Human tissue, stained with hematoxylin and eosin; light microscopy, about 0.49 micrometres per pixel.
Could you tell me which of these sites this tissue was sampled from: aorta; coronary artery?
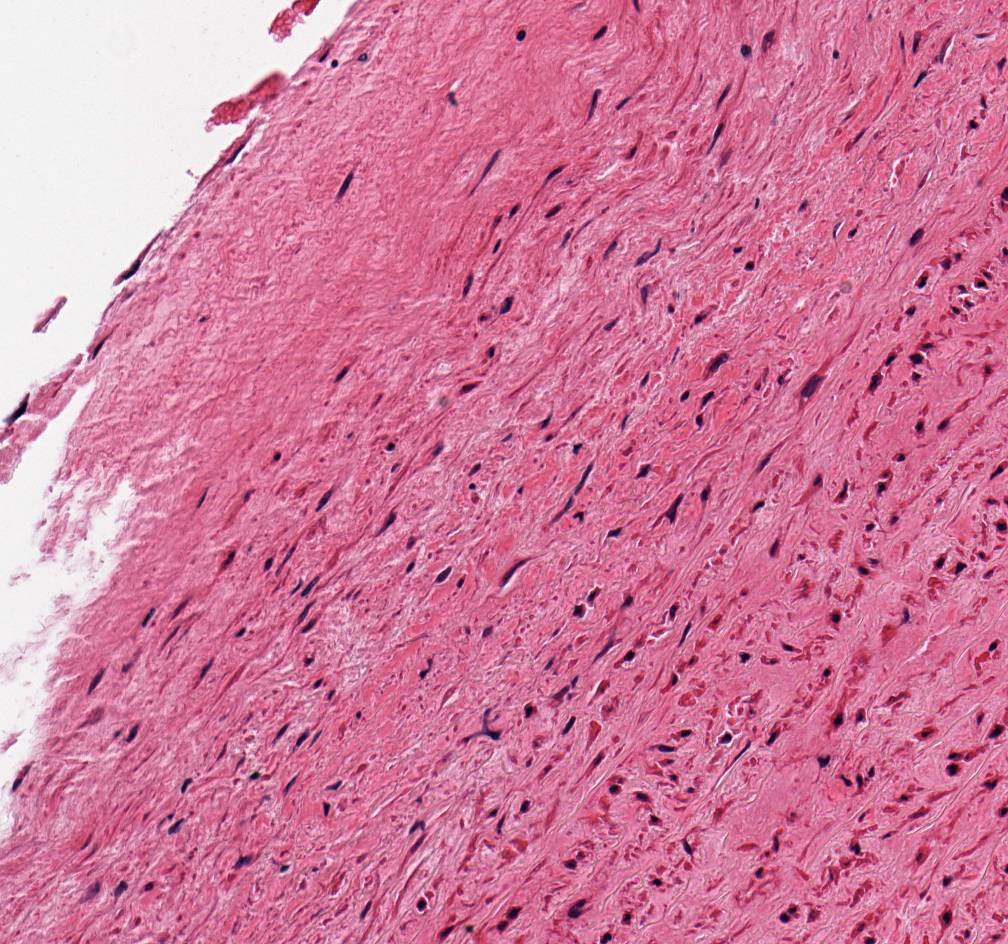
aorta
